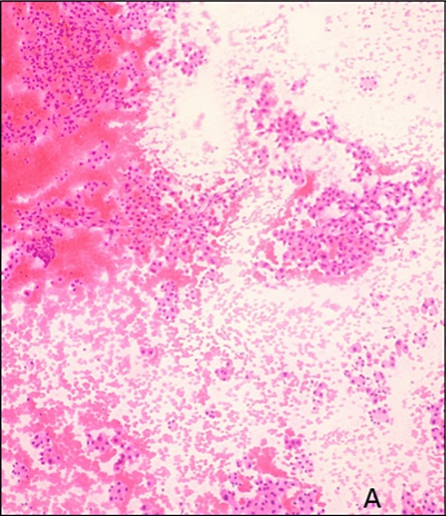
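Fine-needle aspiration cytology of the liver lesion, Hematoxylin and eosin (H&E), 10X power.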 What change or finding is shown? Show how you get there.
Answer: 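Many red blood cells fill the background. Dense pink-red blood areas lie at the upper left. That points to this answer: hemorrhage.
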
